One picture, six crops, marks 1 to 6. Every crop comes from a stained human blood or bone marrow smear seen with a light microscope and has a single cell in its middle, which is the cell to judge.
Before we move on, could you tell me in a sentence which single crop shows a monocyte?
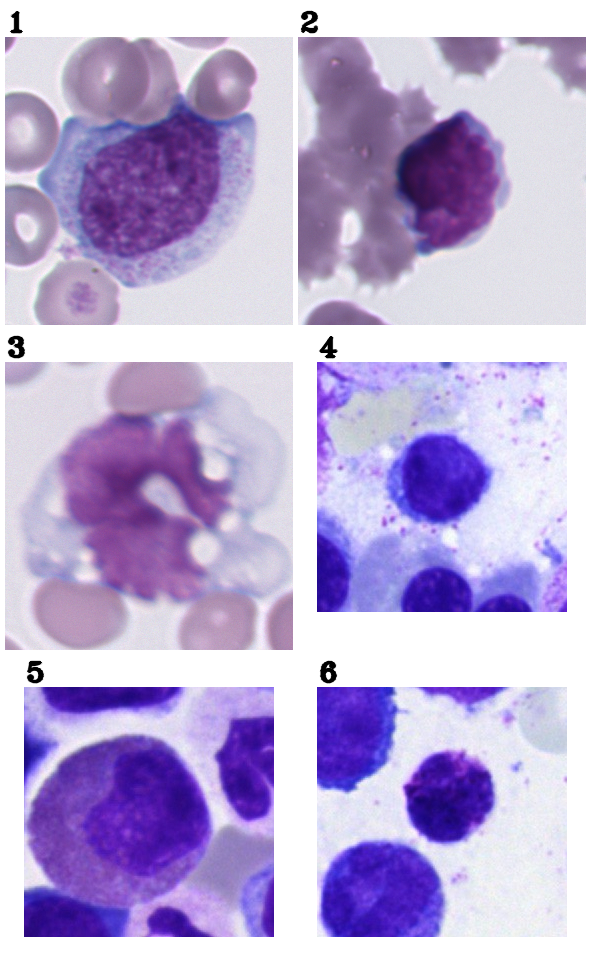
Look at crop 3; that is the one with a monocyte in its center.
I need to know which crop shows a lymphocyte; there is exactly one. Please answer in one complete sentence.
Crop 4 is the one in the set with a lymphocyte at the center.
